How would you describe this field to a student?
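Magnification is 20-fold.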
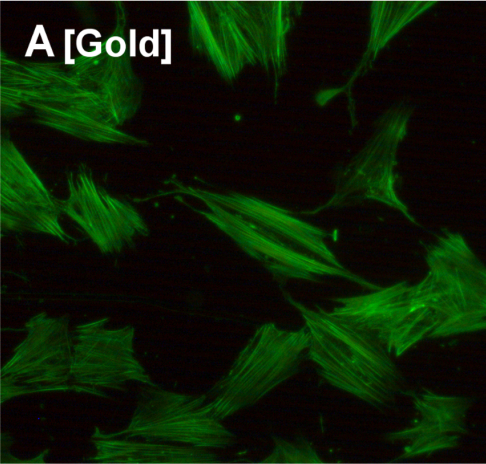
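The cells are elongated, fan-shaped or polygonal, and many of them lie close together or overlap. Long, straight bundles of filaments run in parallel through each cell body, mostly along the cell's long axis. A few fine projections extend from the cell edges. Nuclei are not stained and do not stand out against the filaments.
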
